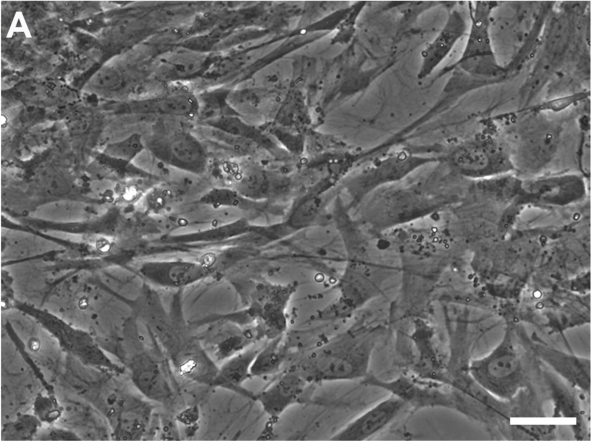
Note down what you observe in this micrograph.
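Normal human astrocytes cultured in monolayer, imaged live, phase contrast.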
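The cells are broad, flattened and irregularly polygonal, spreading out and overlapping one another so that they cover almost the whole field. Oval, pale nuclei can be seen in many of them, and long thin dark strands run through the cytoplasm and between cells. Small bright, round refractile dots are scattered across the surface.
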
